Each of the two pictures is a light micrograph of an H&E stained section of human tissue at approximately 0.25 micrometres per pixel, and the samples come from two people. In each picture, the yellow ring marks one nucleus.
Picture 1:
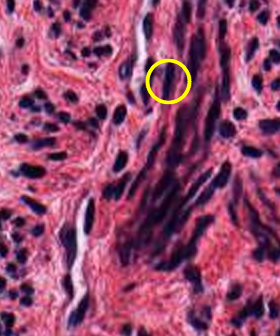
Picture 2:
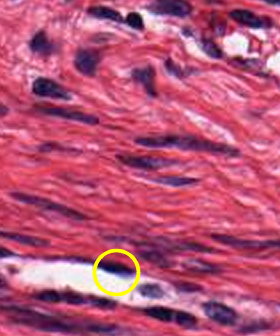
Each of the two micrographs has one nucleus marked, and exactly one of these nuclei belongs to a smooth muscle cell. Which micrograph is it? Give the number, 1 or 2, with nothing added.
1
